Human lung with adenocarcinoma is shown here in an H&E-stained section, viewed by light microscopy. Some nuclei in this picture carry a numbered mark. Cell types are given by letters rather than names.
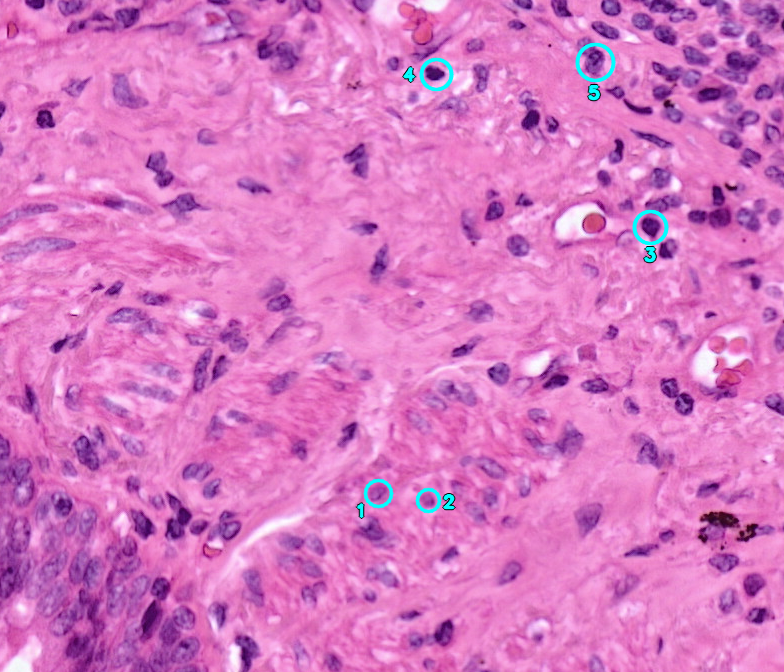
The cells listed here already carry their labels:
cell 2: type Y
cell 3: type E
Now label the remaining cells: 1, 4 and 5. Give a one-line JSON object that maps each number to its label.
{"1": "type Y", "4": "type E", "5": "type E"}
